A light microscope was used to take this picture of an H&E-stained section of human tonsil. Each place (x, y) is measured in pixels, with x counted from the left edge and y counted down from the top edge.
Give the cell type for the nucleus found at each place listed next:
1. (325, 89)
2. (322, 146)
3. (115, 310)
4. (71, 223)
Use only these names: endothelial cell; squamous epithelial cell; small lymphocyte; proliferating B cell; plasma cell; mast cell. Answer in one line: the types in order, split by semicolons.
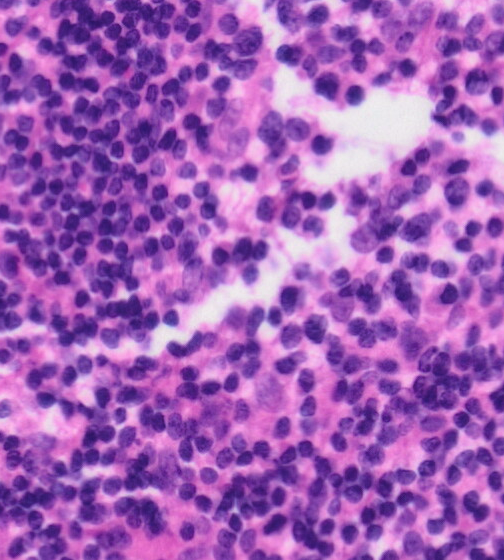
proliferating B cell; proliferating B cell; small lymphocyte; small lymphocyte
